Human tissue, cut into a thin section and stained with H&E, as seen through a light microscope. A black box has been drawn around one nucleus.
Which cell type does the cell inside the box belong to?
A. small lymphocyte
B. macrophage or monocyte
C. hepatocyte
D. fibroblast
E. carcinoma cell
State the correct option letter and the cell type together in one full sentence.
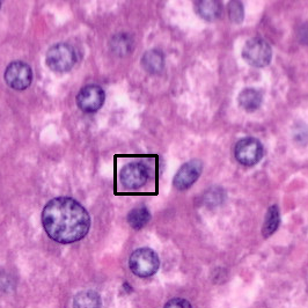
Option C is the right choice, for the cell inside the box is a hepatocyte.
